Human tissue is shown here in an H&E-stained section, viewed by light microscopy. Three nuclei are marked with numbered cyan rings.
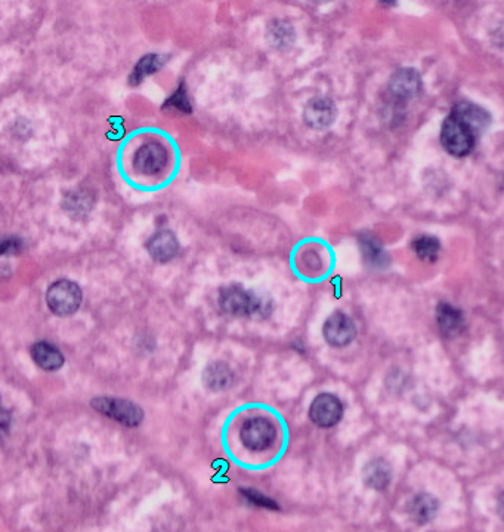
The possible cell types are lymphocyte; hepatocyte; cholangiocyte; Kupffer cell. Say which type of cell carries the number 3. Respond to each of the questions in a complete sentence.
Belonging to a hepatocyte is the nucleus that carries the number 3.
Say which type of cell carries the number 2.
Cell 2 in the field is a hepatocyte.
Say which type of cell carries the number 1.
The nucleus labeled 1 belongs to a Kupffer cell.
